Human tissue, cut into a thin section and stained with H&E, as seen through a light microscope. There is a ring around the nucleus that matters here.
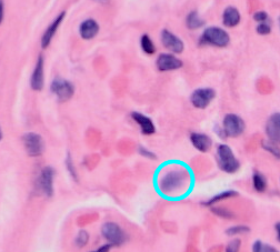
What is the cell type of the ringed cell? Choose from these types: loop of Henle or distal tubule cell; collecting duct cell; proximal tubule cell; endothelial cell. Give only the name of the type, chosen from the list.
endothelial cell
